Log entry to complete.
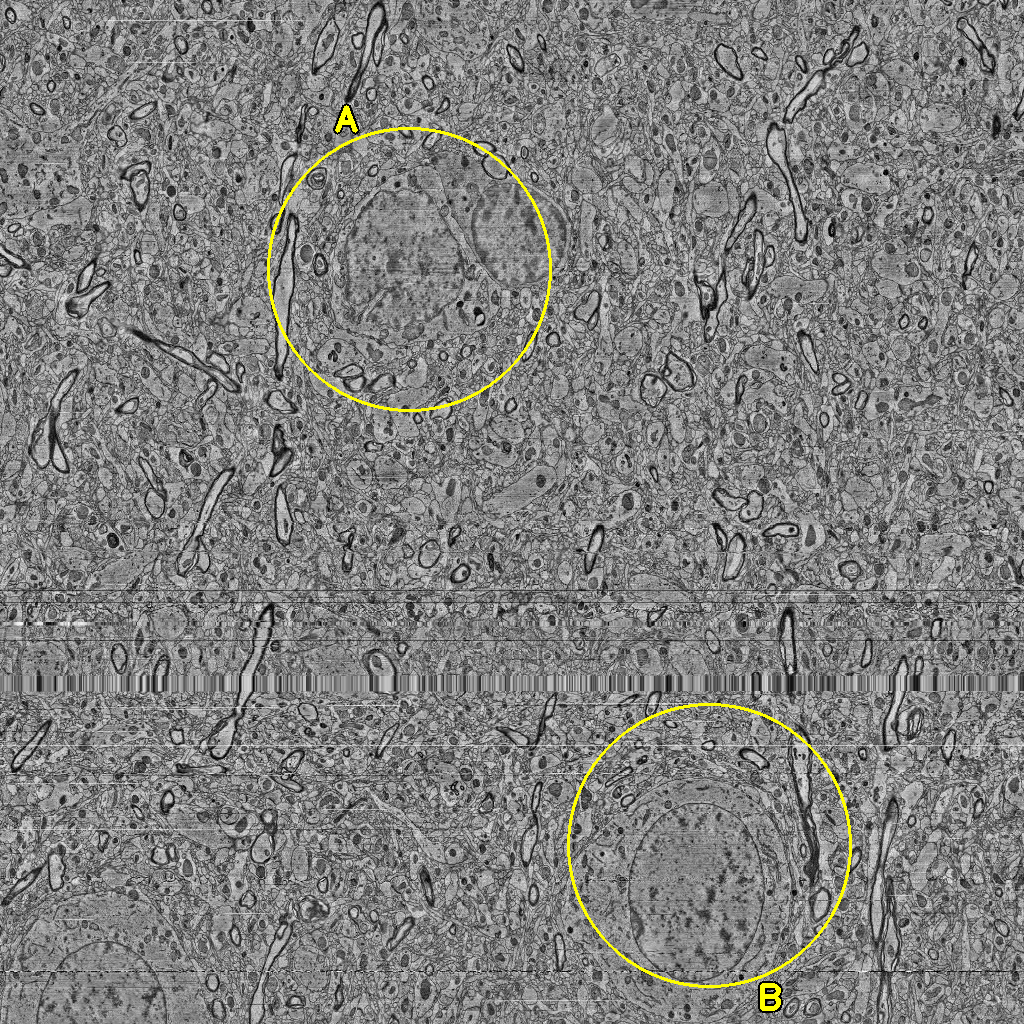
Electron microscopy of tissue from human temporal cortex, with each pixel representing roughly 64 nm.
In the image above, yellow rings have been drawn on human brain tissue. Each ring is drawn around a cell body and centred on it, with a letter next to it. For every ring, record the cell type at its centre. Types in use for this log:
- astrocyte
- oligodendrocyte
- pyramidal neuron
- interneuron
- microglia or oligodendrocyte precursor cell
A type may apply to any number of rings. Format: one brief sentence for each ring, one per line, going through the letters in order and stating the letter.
In ring A, the centred cell is an interneuron.
In ring B, the centred cell is a pyramidal neuron.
